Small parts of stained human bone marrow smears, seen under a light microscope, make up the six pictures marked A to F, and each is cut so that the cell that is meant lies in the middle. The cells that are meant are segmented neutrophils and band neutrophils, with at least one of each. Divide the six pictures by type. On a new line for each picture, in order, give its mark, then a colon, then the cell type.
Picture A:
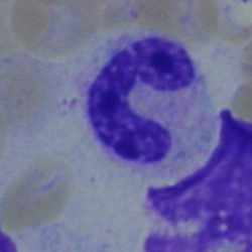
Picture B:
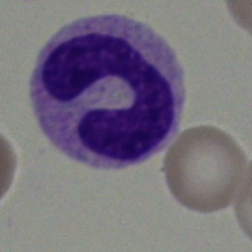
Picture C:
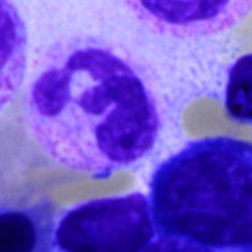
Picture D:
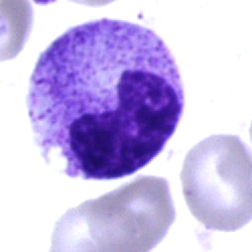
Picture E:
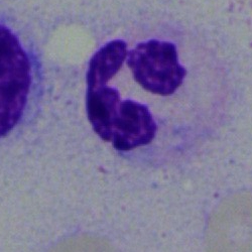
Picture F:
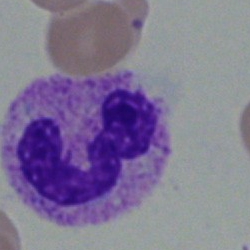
A: band neutrophil
B: band neutrophil
C: segmented neutrophil
D: band neutrophil
E: segmented neutrophil
F: band neutrophil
